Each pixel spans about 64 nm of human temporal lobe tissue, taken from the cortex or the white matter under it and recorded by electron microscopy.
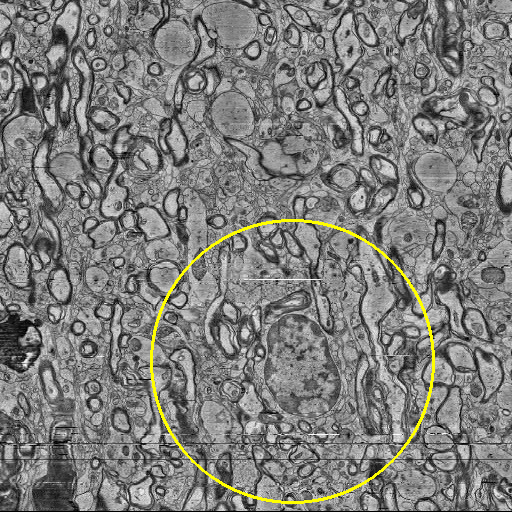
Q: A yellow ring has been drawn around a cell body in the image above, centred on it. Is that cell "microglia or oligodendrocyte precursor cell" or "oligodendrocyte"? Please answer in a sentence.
The ring surrounds the cell body of a microglial cell or oligodendrocyte precursor cell.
